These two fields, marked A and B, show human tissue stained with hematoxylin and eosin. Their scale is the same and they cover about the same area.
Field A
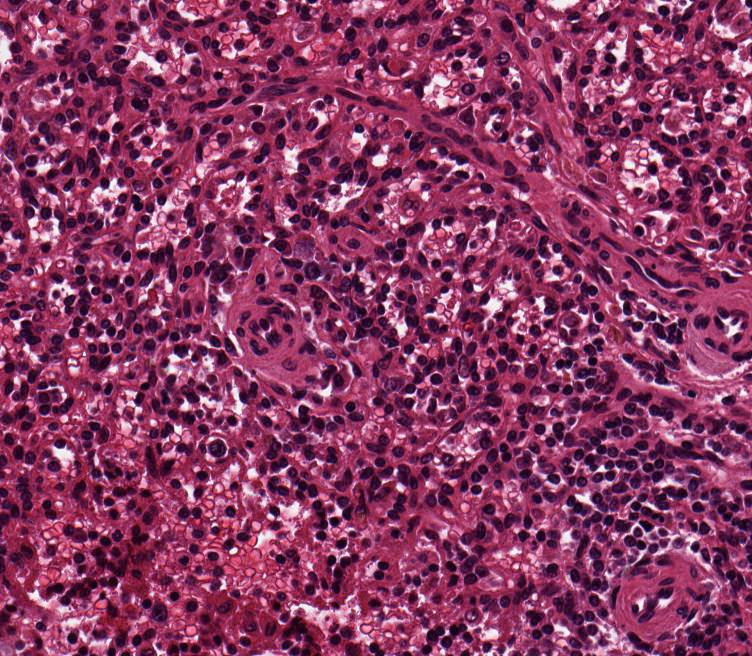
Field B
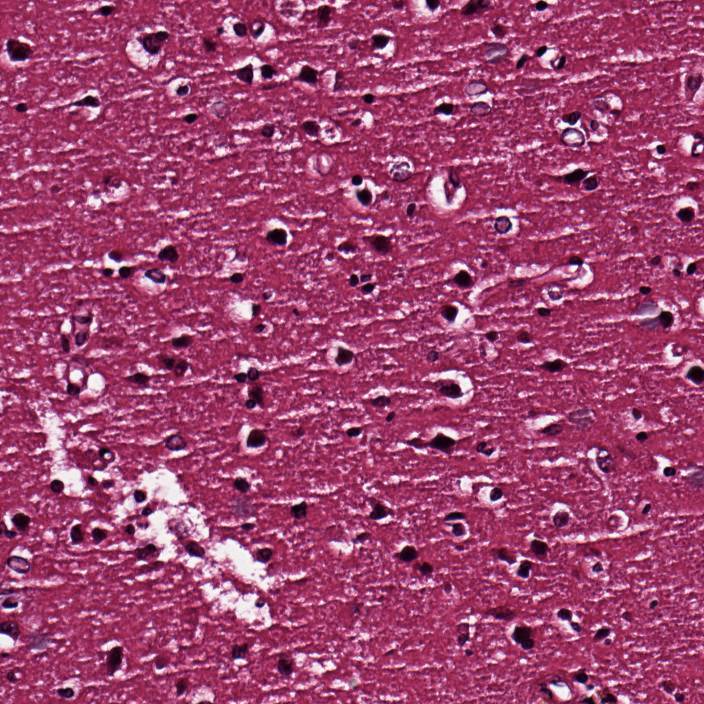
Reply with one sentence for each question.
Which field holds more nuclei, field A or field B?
There are more nuclei in field A.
